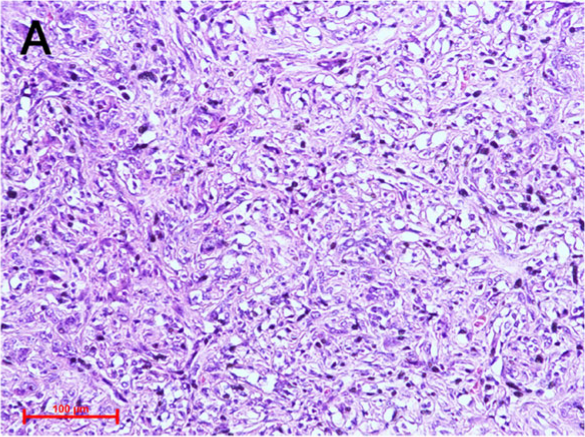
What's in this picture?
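This is a densely cellular tumor area made of spindle and epithelioid cells. Elongated spindle cells with tapered nuclei mingle with plumper polygonal cells in a loose, pale pink stroma with small clear spaces. Scattered nuclei are dark and irregular, and no glands or trabeculae are formed.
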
